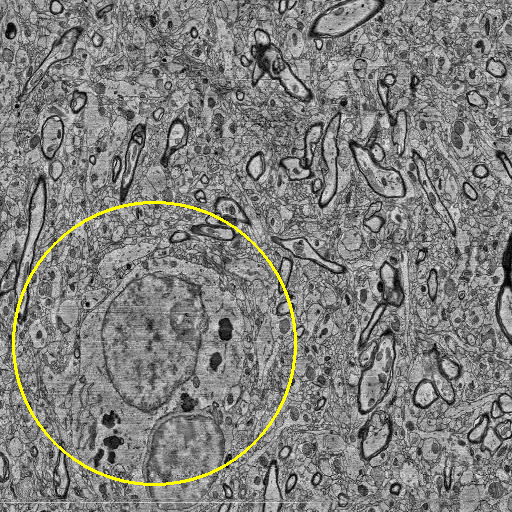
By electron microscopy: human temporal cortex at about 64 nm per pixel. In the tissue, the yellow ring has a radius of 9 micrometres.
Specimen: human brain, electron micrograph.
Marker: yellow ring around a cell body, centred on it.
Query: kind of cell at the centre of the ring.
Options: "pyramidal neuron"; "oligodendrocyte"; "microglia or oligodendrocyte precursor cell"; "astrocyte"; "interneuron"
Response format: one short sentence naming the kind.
This cell body belongs to an interneuron.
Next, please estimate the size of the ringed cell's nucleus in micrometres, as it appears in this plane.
Approximately 9 micrometres long and 7 micrometres wide, in this plane.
